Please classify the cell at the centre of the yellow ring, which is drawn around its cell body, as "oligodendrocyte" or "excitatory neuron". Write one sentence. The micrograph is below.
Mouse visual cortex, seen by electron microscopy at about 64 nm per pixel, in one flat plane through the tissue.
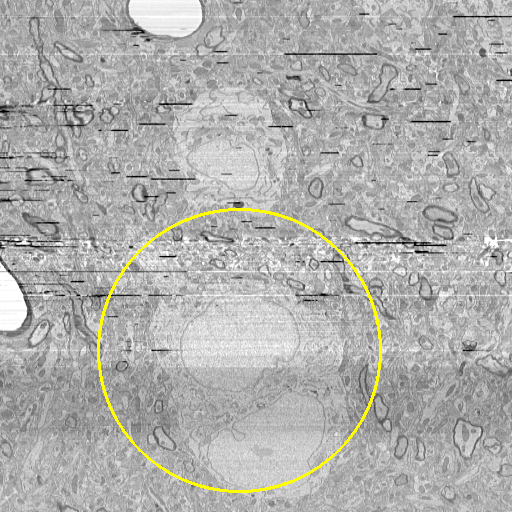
The cell at the ring's centre is classified as an oligodendrocyte.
